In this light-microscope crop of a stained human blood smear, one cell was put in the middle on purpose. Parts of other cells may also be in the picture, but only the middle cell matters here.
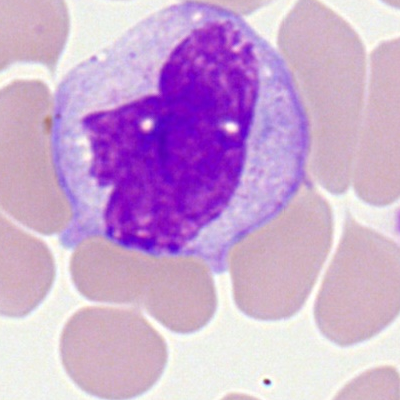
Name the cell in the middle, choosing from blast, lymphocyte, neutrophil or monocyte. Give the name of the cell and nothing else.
monocyte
